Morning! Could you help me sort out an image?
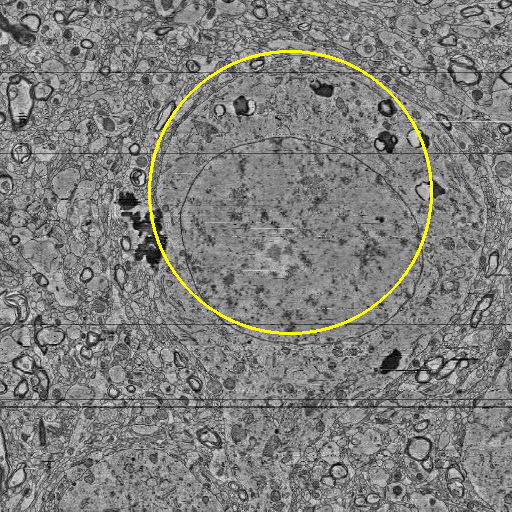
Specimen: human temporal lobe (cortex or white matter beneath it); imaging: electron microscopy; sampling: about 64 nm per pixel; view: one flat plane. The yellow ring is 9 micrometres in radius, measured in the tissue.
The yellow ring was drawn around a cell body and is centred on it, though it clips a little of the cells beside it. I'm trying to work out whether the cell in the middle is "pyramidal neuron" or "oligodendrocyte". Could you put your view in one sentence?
The ringed cell body is that of a pyramidal neuron.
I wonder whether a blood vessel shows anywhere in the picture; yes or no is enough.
No, the picture includes no blood vessel.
